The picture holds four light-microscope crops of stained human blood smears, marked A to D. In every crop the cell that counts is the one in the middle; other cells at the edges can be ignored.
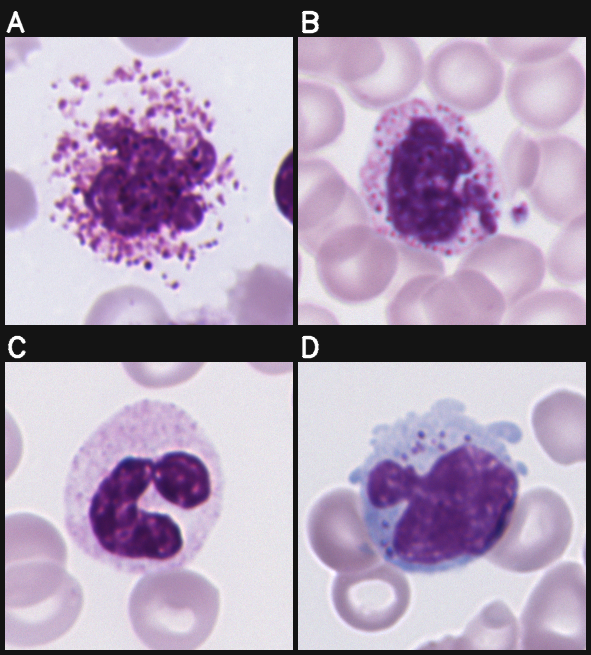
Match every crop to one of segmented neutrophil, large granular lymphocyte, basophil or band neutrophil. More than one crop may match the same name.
A: basophil
B: basophil
C: segmented neutrophil
D: large granular lymphocyte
